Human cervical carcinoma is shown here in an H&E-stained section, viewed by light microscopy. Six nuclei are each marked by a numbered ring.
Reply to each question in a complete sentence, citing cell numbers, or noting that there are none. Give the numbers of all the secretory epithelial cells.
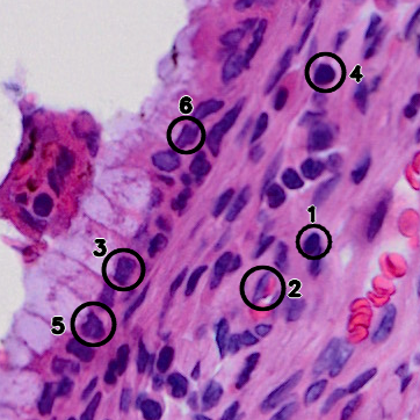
The cells numbered 3, 5 and 6 are typed as secretory epithelial cells.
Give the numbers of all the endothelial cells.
Cell 2 is an endothelial cell, whereas each of the other numbered cells is not.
